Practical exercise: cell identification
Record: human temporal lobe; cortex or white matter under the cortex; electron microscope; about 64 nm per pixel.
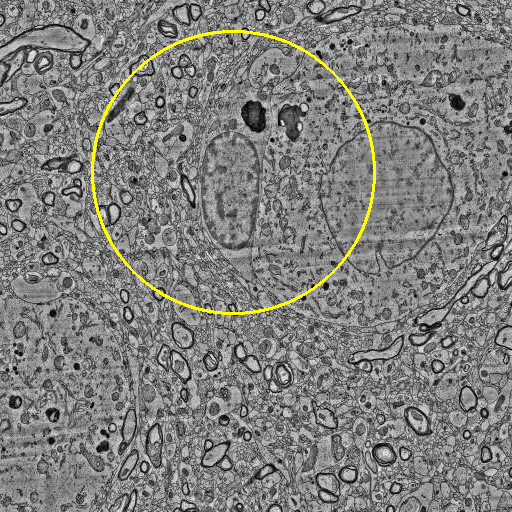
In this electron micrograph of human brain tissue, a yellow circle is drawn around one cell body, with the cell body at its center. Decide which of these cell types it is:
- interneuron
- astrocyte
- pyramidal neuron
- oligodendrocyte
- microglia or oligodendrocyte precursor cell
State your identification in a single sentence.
The ringed cell is an oligodendrocyte.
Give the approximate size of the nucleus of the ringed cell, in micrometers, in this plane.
The nucleus is approximately 7 micrometres long but only about 4 wide, clearly longer than it is wide in this plane.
